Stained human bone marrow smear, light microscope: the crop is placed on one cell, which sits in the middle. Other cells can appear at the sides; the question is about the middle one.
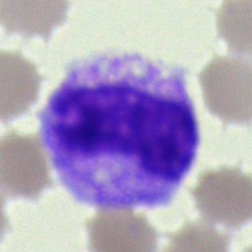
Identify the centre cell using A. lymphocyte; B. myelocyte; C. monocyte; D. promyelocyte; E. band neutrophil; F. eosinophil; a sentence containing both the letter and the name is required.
Option E gets it right: the cell in the middle is a band neutrophil.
